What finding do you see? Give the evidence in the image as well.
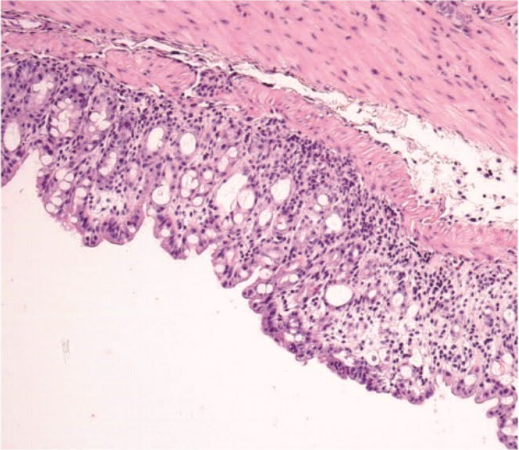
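Crypt loss. Only few, scattered crypt profiles remain. Much of the mucosa is taken up by cell-rich tissue without crypts.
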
